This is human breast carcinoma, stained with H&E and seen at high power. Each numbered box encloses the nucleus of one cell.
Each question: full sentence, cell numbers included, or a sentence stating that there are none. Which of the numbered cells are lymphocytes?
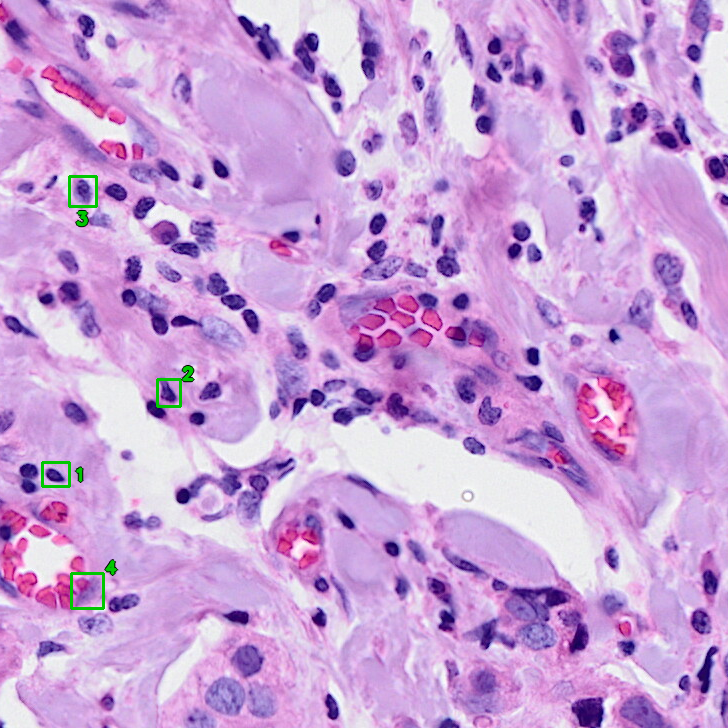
In this section, the cells numbered 1, 2 and 3 are lymphocytes.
